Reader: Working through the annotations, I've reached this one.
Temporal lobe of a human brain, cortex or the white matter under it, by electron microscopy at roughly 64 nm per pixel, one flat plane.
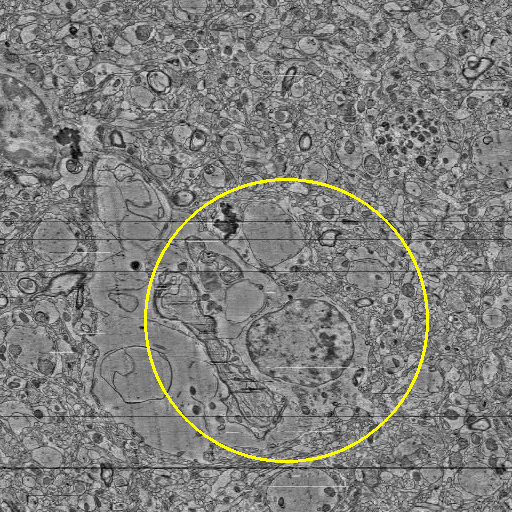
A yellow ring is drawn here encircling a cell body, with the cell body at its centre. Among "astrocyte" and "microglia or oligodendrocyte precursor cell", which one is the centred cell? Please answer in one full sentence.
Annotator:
The cell body at the centre of the yellow ring in this image belongs to a microglial cell or oligodendrocyte precursor cell.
